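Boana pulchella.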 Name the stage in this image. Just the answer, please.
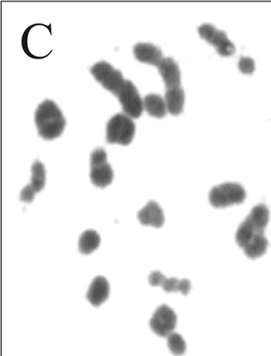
Metaphase I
